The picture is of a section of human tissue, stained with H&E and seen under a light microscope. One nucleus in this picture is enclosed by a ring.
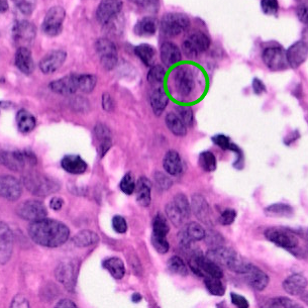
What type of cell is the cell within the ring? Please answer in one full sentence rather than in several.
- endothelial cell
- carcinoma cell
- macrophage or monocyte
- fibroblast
Within this tissue, the cell within the ring is a carcinoma cell.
